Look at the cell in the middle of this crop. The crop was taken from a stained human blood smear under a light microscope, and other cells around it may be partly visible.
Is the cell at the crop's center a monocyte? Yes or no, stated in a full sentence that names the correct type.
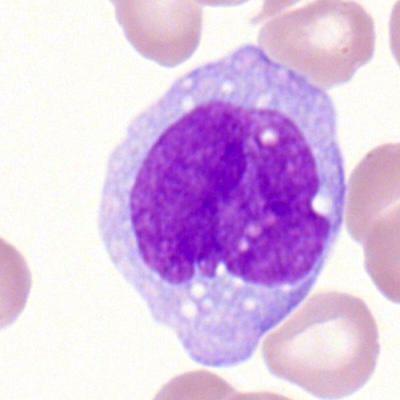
Yes, the cell that occupies the centre is a monocyte.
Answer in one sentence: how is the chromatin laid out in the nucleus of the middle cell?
The nuclear chromatin is fine, showing no coarse aggregates.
